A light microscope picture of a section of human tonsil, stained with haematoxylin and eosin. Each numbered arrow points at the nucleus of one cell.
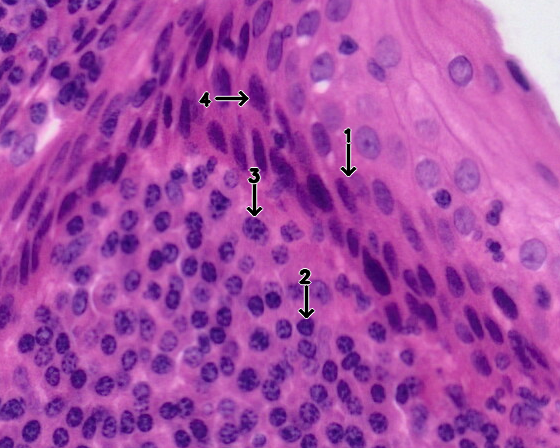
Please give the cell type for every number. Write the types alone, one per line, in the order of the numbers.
squamous epithelial cell
plasma cell
plasma cell
squamous epithelial cell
